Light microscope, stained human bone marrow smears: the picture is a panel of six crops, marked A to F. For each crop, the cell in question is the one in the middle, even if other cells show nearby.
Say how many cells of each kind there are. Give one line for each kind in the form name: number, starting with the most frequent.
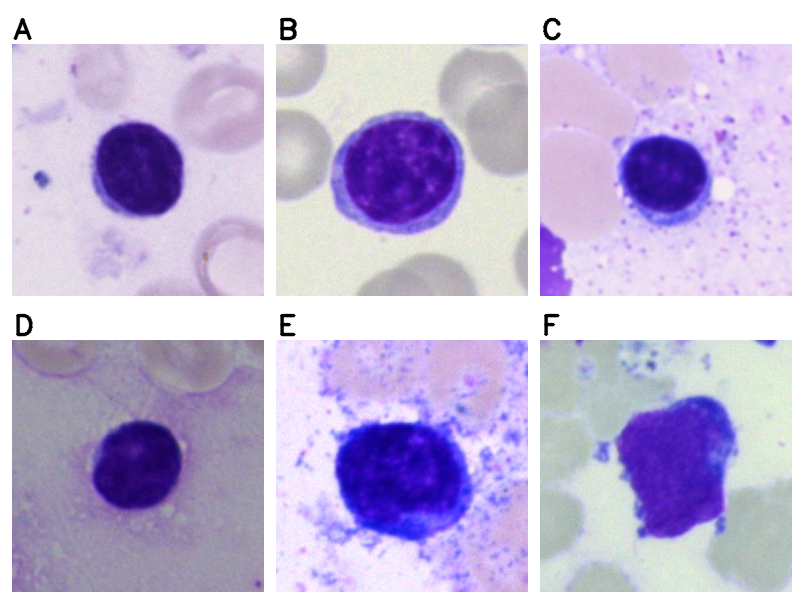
lymphocyte: 4
blast: 2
